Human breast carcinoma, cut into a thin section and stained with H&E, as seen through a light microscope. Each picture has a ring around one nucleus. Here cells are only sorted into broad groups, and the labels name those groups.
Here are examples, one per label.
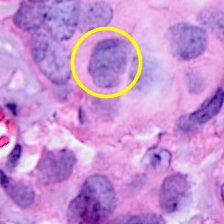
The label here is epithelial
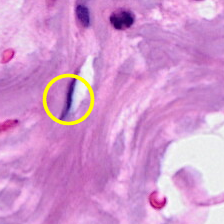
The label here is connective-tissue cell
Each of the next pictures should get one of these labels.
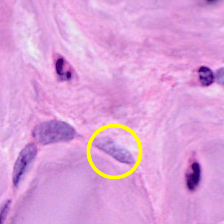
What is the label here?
connective-tissue cell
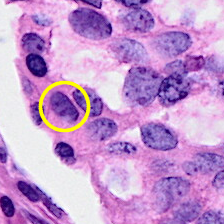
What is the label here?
epithelial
